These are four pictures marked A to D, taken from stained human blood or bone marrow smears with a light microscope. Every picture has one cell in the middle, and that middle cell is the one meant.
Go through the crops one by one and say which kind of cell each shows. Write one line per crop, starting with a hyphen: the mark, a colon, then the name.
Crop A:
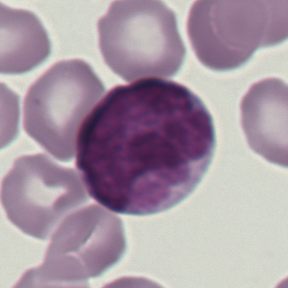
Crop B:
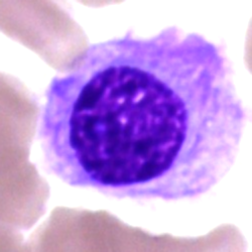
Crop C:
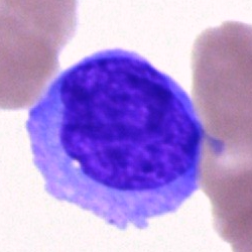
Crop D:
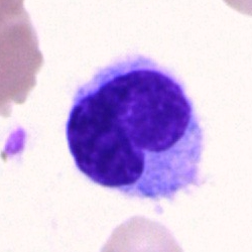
- A: blast
- B: hairy cell
- C: blast
- D: hairy cell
